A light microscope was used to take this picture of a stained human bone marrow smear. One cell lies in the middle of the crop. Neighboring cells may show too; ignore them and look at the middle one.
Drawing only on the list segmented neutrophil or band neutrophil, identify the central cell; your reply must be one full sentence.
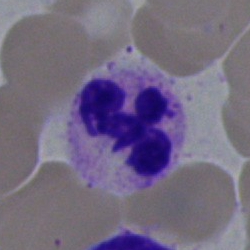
At the crop's centre, the cell is a segmented neutrophil.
